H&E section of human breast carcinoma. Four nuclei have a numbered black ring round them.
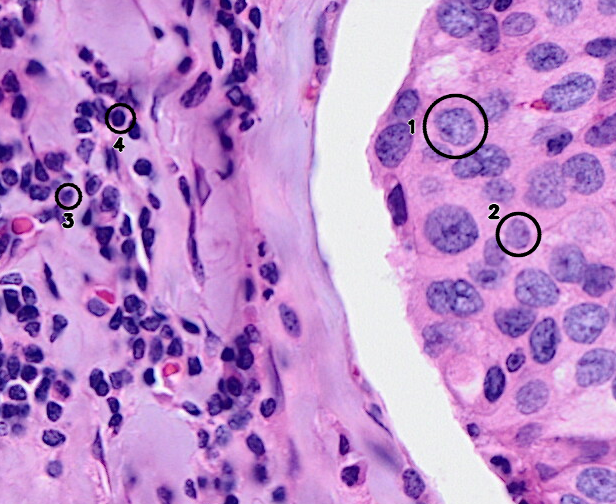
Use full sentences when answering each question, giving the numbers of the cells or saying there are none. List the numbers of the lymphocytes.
Identified as lymphocytes are the cells numbered 3 and 4.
